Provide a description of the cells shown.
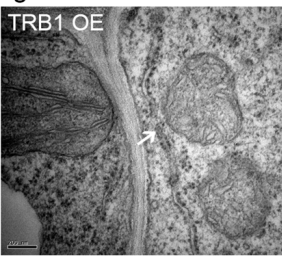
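A chloroplast with stacked thylakoid membranes lies to the left of the wall, and rounded mitochondria with cristae lie to the right in granular cytoplasm. A membrane profile runs close to the upper mitochondrion.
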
